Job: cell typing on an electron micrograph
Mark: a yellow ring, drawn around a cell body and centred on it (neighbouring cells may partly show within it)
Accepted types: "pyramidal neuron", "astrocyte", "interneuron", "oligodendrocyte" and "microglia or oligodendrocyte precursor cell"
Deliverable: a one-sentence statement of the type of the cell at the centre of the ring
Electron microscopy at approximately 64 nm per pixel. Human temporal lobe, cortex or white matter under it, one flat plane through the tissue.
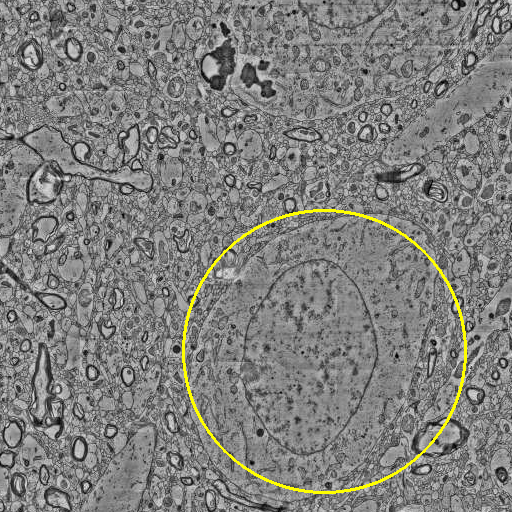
The centred cell body is that of a pyramidal neuron.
